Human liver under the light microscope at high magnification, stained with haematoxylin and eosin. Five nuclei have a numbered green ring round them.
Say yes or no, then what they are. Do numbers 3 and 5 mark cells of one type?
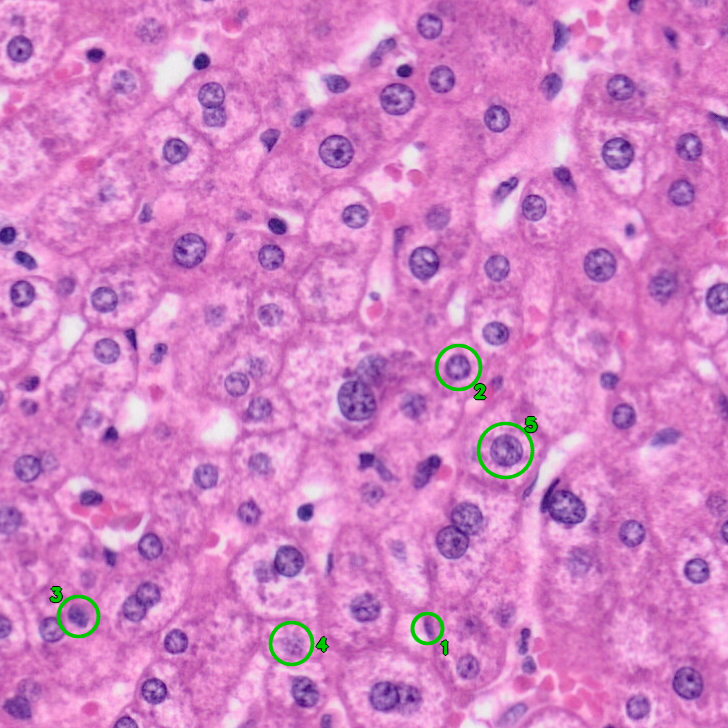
No, cell 3 is an endothelial cell; as for cell 5, that one is a hepatocyte.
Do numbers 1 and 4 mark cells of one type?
No, cell 1 is interpreted as an endothelial cell, and cell 4 is interpreted as a hepatocyte.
